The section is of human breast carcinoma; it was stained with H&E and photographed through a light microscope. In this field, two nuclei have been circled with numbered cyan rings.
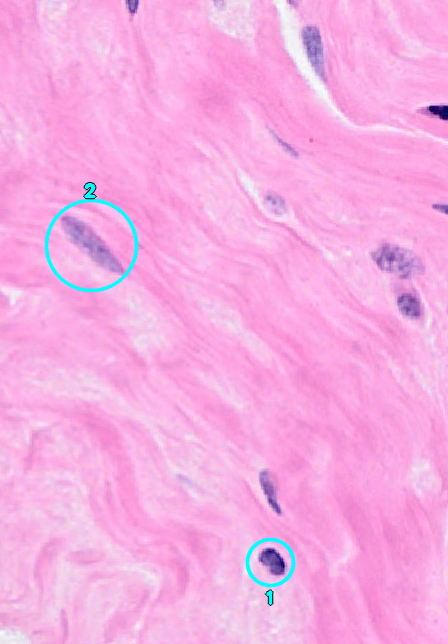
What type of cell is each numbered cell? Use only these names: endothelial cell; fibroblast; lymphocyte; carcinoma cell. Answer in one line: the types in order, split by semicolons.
lymphocyte; fibroblast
